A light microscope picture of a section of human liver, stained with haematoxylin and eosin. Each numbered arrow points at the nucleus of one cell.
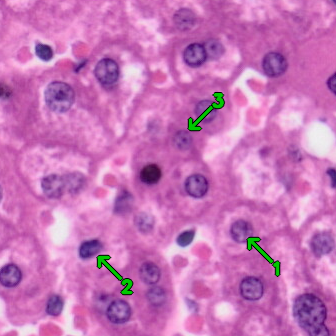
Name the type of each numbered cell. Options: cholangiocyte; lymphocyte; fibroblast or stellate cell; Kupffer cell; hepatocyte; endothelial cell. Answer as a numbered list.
1. hepatocyte
2. fibroblast or stellate cell
3. hepatocyte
